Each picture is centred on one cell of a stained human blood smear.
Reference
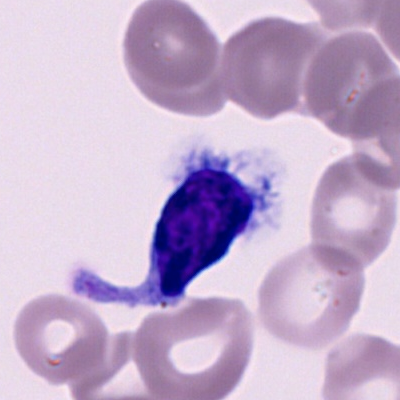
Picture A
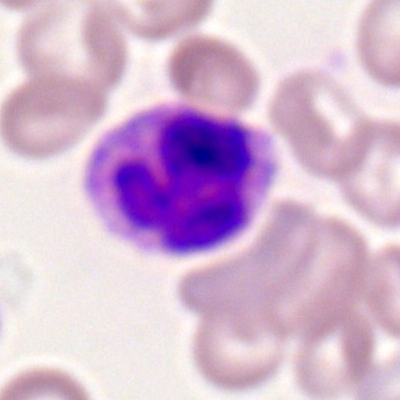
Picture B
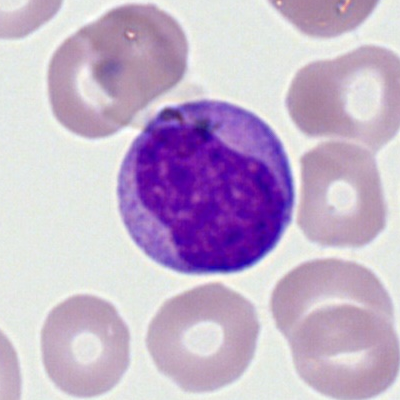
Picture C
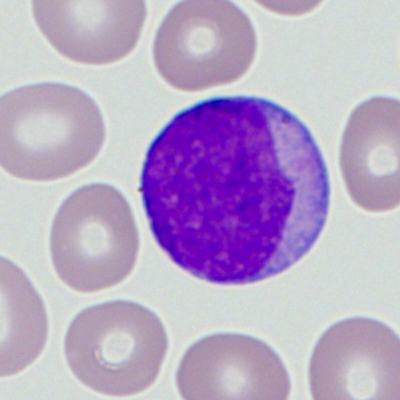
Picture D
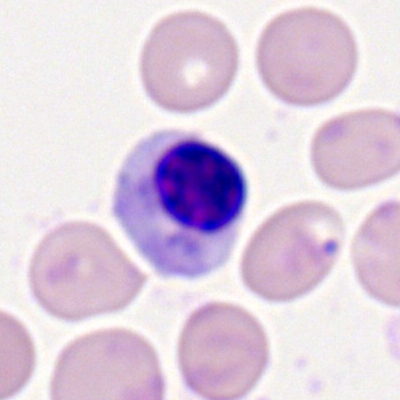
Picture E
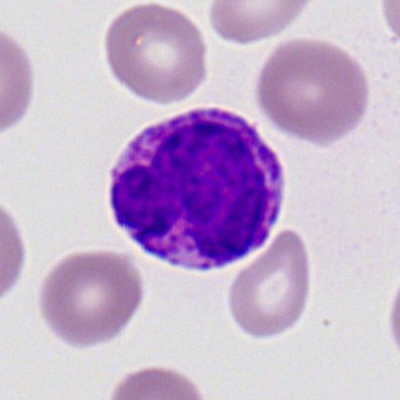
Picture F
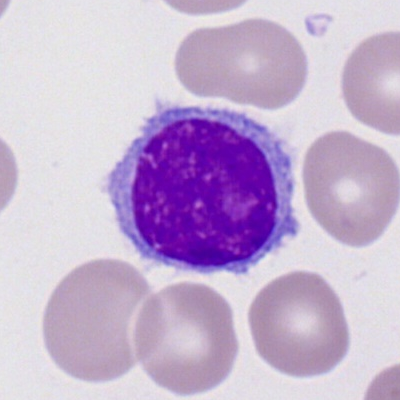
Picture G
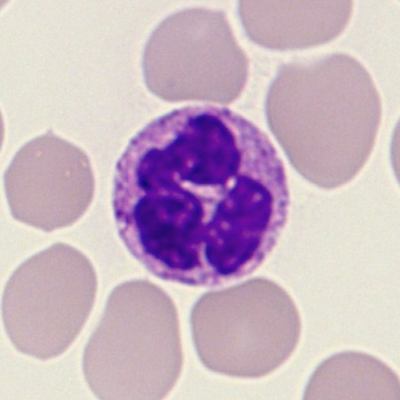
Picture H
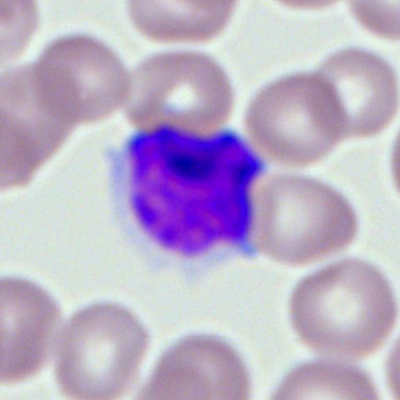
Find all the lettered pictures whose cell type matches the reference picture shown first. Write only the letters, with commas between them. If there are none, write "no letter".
F, H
